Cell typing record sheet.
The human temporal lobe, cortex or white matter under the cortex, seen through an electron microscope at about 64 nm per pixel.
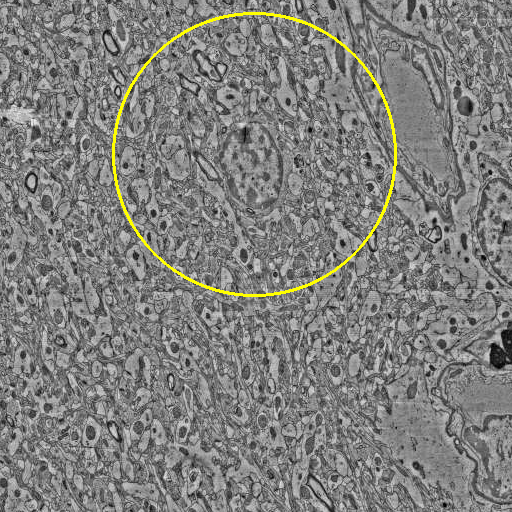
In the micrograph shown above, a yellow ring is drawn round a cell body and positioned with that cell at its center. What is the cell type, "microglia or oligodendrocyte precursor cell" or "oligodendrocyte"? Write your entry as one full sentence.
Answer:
The cell body at the center of the ring belongs to an oligodendrocyte.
